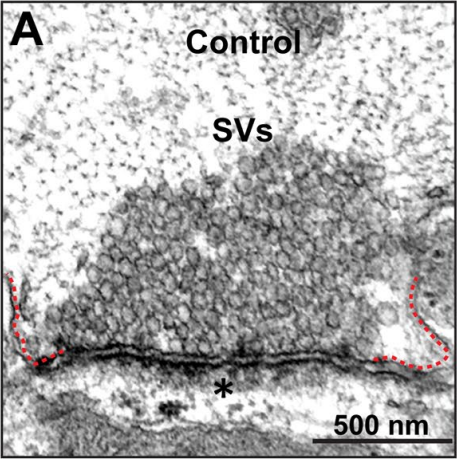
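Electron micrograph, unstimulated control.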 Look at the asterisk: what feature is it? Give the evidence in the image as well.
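Postsynaptic density. The asterisk lies just below a long, dark, thickened stretch of paired membranes. The vesicle cluster sits directly above this thickening on the opposite side.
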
